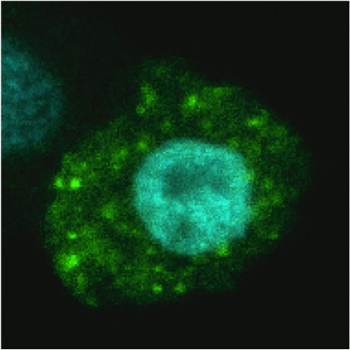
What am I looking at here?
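A single rounded cultured cell seen at high magnification, with a round cyan nucleus lying somewhat off-centre and a broad surrounding cytosol outlined by green. The nucleus has smooth edges and a mottled interior with darker patches. A faint green tint also overlies the nucleus. Part of a neighbouring cell's cyan nucleus is cut by the upper left corner.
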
